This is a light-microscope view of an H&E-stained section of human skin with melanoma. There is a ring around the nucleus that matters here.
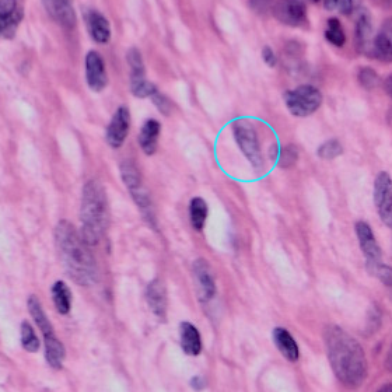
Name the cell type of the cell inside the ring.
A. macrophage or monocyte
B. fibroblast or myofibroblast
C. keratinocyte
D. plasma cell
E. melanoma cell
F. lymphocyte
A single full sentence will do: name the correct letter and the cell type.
The right pick is option B; the cell inside the ring is a fibroblast or myofibroblast.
